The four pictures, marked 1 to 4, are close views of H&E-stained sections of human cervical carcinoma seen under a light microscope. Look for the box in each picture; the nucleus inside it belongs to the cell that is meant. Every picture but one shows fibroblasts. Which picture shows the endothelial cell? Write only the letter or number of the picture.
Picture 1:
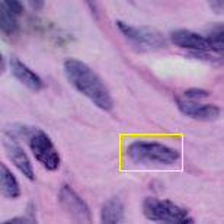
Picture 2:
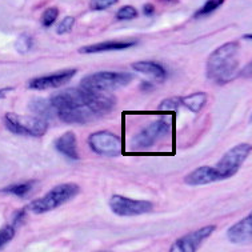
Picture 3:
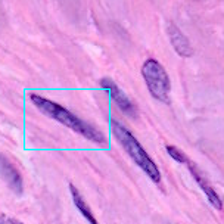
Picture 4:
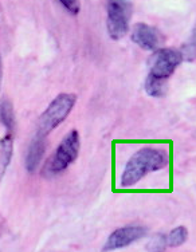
2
